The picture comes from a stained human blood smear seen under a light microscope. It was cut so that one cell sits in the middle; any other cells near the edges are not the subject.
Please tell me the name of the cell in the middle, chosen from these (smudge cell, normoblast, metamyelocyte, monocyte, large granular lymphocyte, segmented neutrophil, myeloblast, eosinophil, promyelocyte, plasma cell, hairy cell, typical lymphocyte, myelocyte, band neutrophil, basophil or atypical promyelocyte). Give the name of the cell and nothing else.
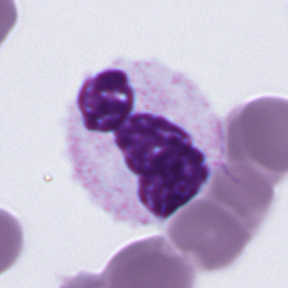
segmented neutrophil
